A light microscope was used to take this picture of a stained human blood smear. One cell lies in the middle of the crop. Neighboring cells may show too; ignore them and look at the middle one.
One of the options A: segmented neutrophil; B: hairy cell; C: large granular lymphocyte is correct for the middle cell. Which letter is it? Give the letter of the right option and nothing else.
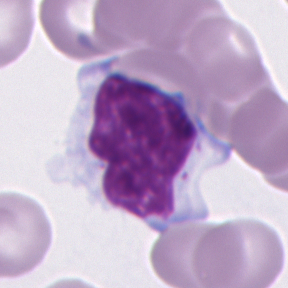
C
